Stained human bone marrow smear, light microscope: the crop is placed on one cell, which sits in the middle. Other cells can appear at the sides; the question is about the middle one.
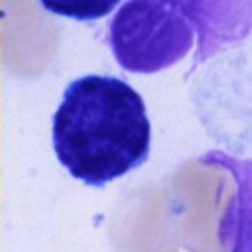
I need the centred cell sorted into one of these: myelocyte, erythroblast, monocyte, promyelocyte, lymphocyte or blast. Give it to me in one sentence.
This crop's central cell is a lymphocyte.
